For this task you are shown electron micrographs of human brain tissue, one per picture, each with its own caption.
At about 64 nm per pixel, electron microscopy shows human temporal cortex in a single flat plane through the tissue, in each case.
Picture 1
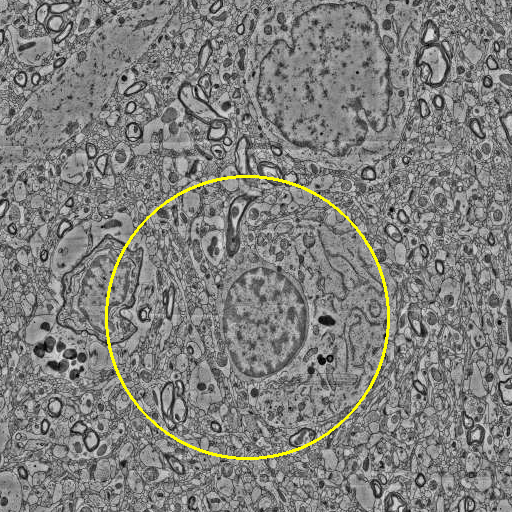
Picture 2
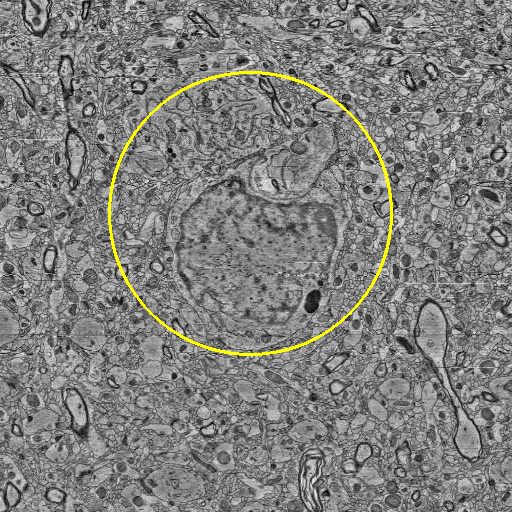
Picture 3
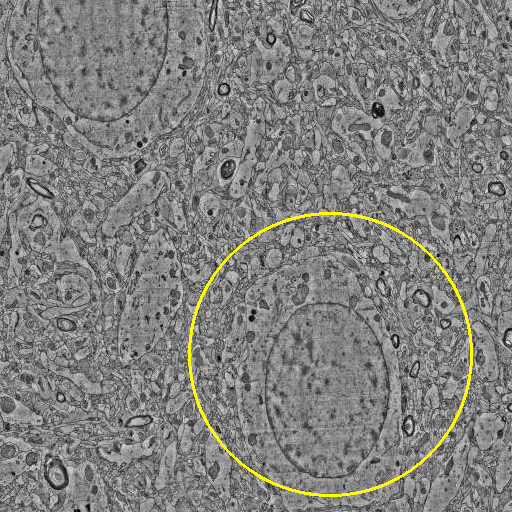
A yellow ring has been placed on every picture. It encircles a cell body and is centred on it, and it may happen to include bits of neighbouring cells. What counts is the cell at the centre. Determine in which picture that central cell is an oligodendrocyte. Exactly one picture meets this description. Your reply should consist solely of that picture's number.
1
